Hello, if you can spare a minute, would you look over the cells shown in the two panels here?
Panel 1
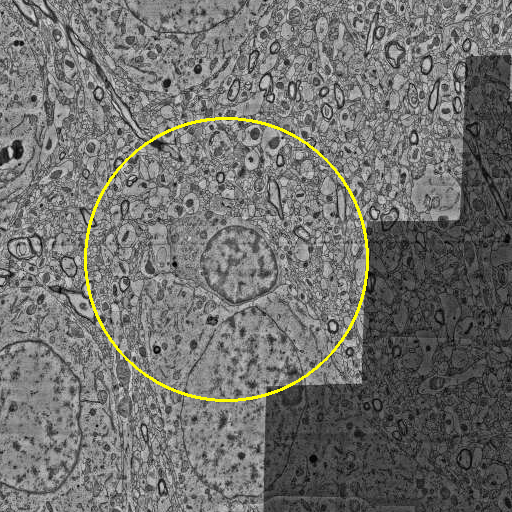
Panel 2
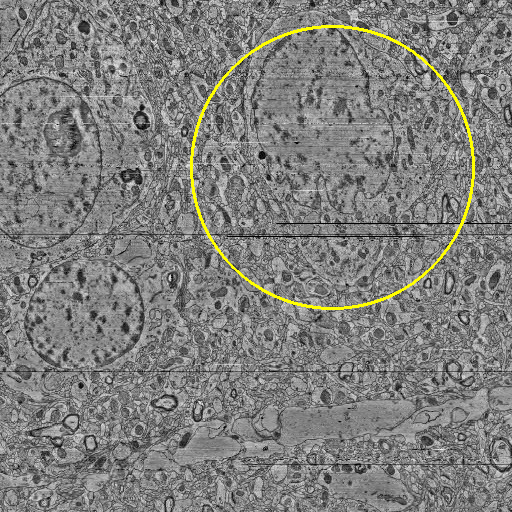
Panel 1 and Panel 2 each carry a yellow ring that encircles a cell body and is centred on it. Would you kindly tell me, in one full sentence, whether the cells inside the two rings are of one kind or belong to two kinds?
The cells at the centres of the rings in Panel 1 and Panel 2 belong to two kinds.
